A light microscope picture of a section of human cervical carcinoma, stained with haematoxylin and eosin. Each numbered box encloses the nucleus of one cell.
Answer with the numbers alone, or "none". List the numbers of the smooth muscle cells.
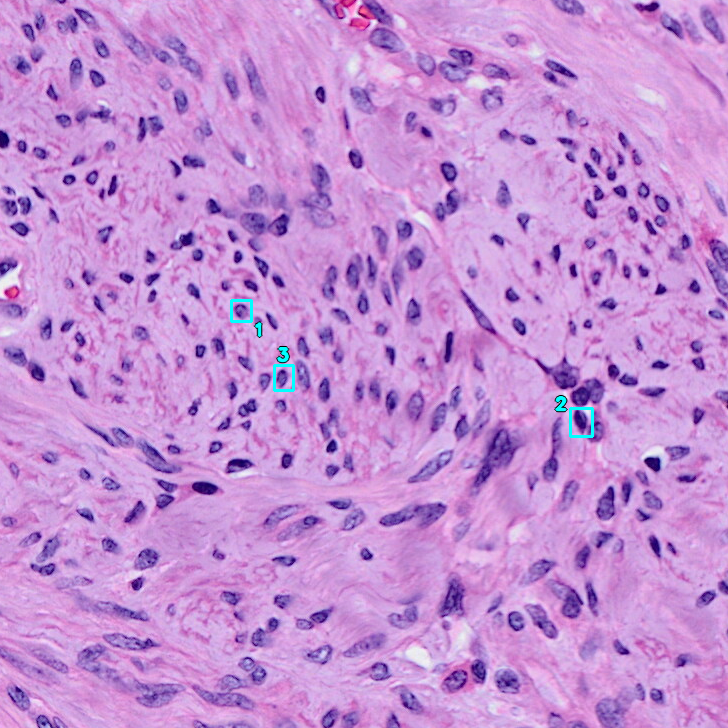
1, 3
